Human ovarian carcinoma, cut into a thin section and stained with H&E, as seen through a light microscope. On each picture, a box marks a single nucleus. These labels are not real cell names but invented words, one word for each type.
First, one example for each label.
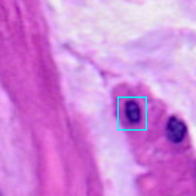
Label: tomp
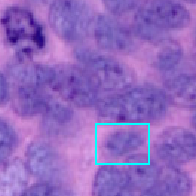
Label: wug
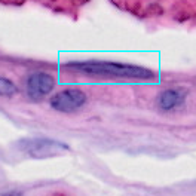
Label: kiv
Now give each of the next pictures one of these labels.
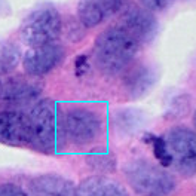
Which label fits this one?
wug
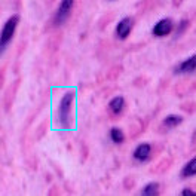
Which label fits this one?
tomp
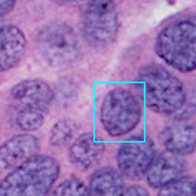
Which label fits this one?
wug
